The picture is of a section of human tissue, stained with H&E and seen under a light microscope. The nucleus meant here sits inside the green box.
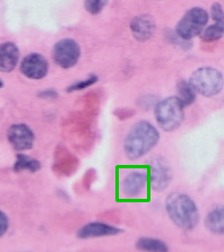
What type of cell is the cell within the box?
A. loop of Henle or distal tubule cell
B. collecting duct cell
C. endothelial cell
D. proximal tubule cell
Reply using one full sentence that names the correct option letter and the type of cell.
The correct option here, B, identifies the cell within the box as a collecting duct cell.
